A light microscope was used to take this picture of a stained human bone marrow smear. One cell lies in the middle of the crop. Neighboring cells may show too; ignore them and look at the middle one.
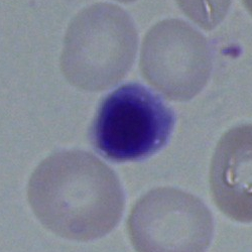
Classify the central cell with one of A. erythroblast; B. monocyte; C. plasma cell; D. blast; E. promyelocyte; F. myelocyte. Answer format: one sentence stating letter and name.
Located in the middle of the crop is an erythroblast, and option A is therefore correct.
